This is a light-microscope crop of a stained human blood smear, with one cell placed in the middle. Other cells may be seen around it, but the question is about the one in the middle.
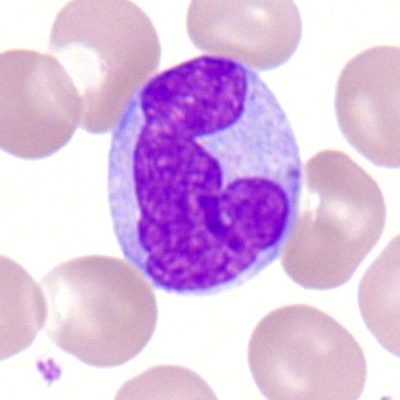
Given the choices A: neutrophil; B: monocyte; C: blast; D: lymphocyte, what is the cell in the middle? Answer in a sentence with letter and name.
The correct response is option B, naming the cell in the middle as a monocyte.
